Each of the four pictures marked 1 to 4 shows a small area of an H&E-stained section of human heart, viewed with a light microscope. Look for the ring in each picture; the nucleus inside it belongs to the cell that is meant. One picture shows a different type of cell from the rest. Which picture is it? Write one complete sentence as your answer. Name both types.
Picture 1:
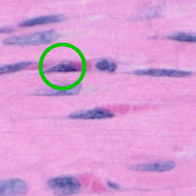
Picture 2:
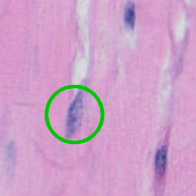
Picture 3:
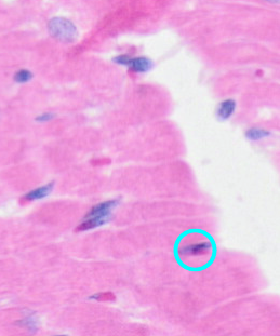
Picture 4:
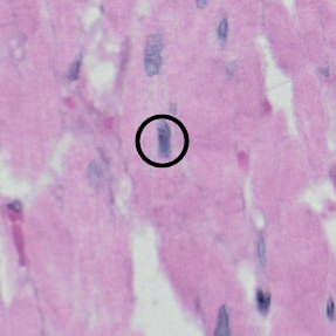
All pictures except 2 show endothelial cells; picture 2 shows a fibroblast.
